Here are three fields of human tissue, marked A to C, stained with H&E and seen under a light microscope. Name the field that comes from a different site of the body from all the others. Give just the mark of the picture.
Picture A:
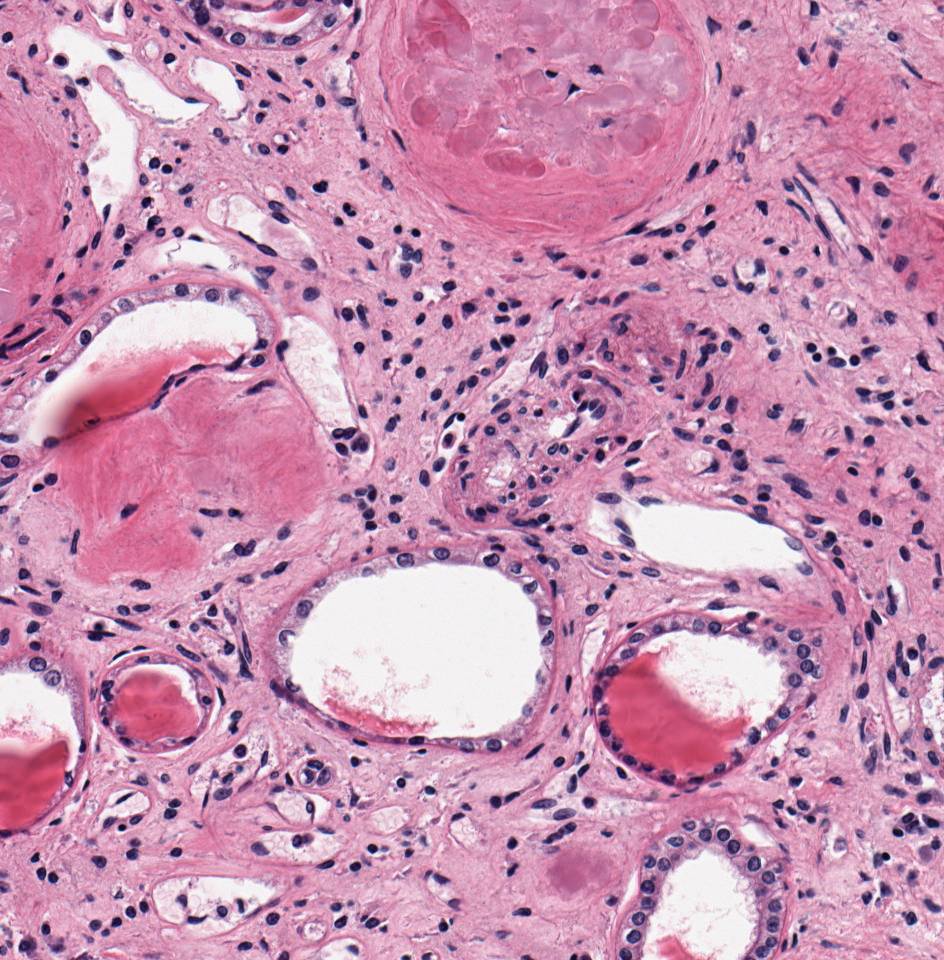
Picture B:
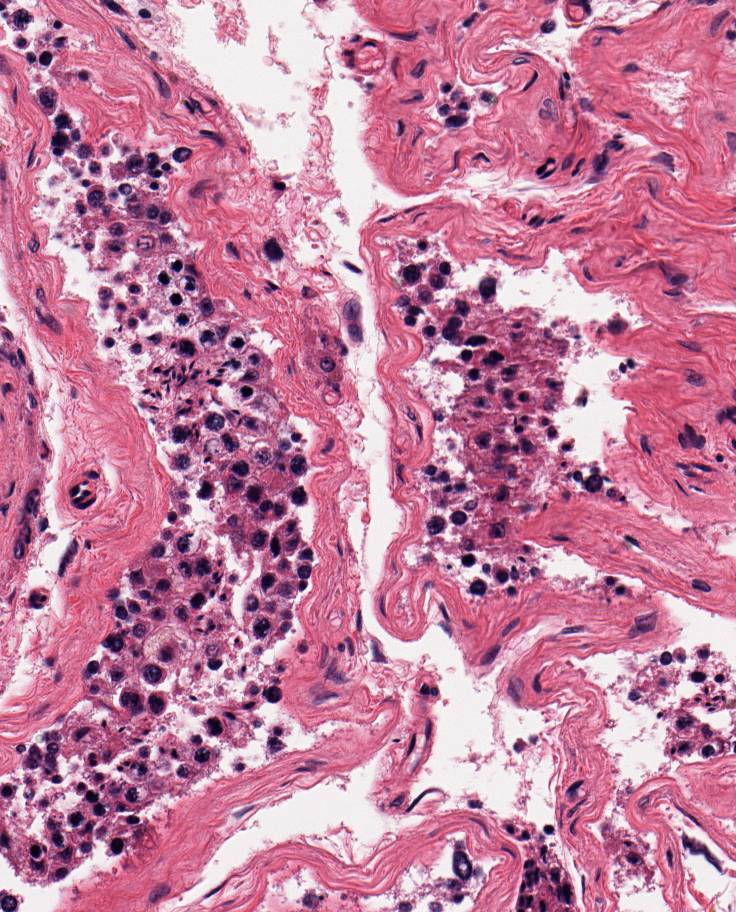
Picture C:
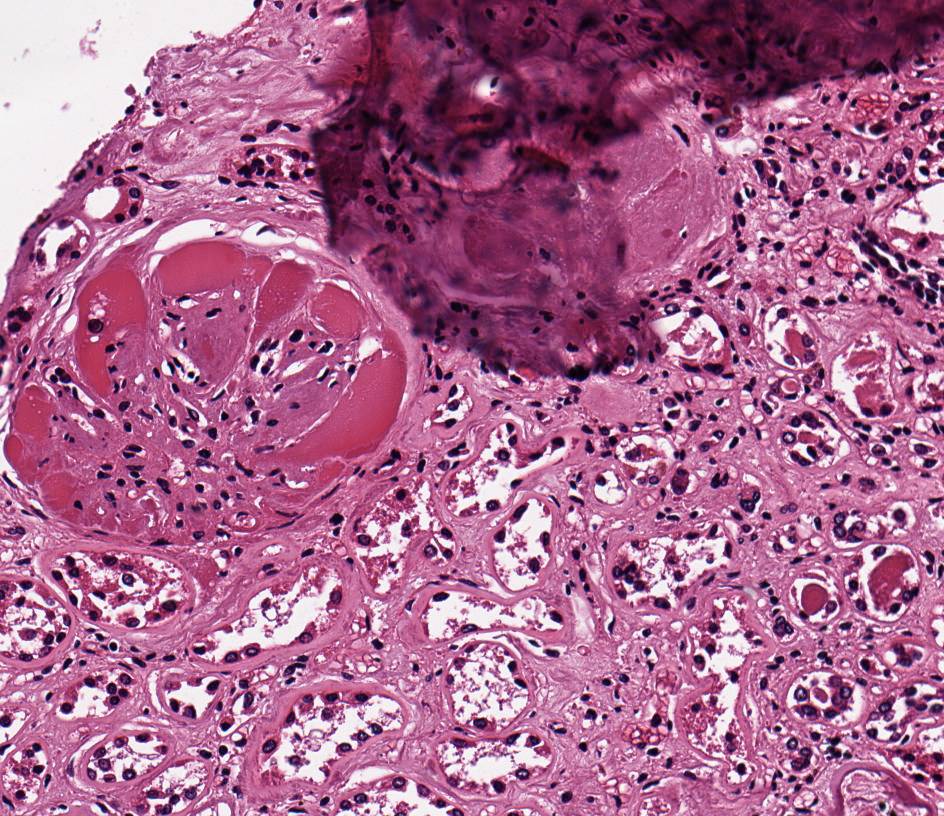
B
